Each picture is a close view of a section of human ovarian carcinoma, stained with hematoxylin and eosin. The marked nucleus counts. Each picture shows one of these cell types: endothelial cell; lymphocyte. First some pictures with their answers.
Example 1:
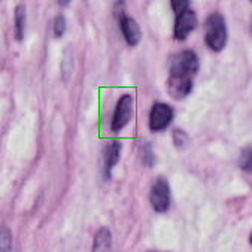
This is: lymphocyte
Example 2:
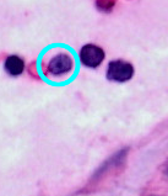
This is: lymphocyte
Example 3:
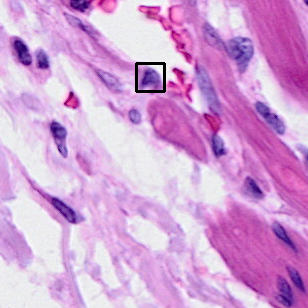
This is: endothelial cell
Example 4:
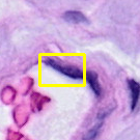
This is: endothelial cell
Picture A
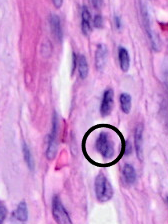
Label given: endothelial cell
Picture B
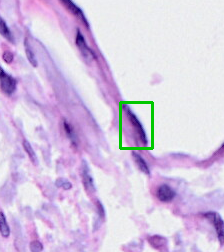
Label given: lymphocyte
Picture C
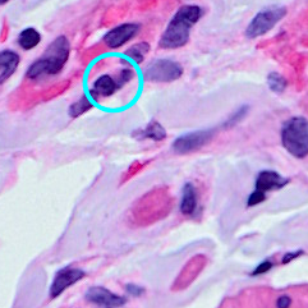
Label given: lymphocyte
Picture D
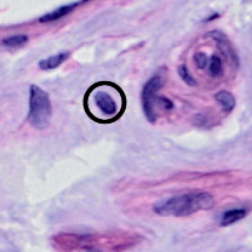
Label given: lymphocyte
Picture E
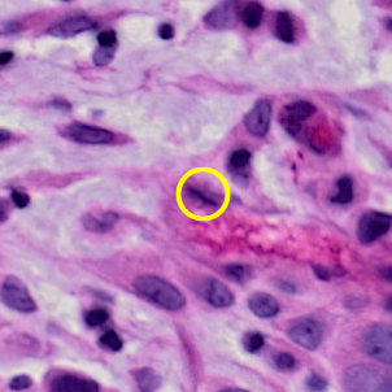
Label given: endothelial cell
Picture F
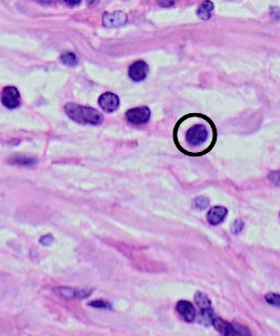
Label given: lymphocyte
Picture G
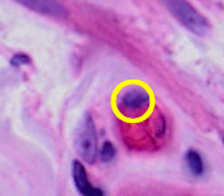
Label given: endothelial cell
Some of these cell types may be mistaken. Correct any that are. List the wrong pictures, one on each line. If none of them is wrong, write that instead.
A: lymphocyte, not endothelial cell
B: endothelial cell, not lymphocyte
